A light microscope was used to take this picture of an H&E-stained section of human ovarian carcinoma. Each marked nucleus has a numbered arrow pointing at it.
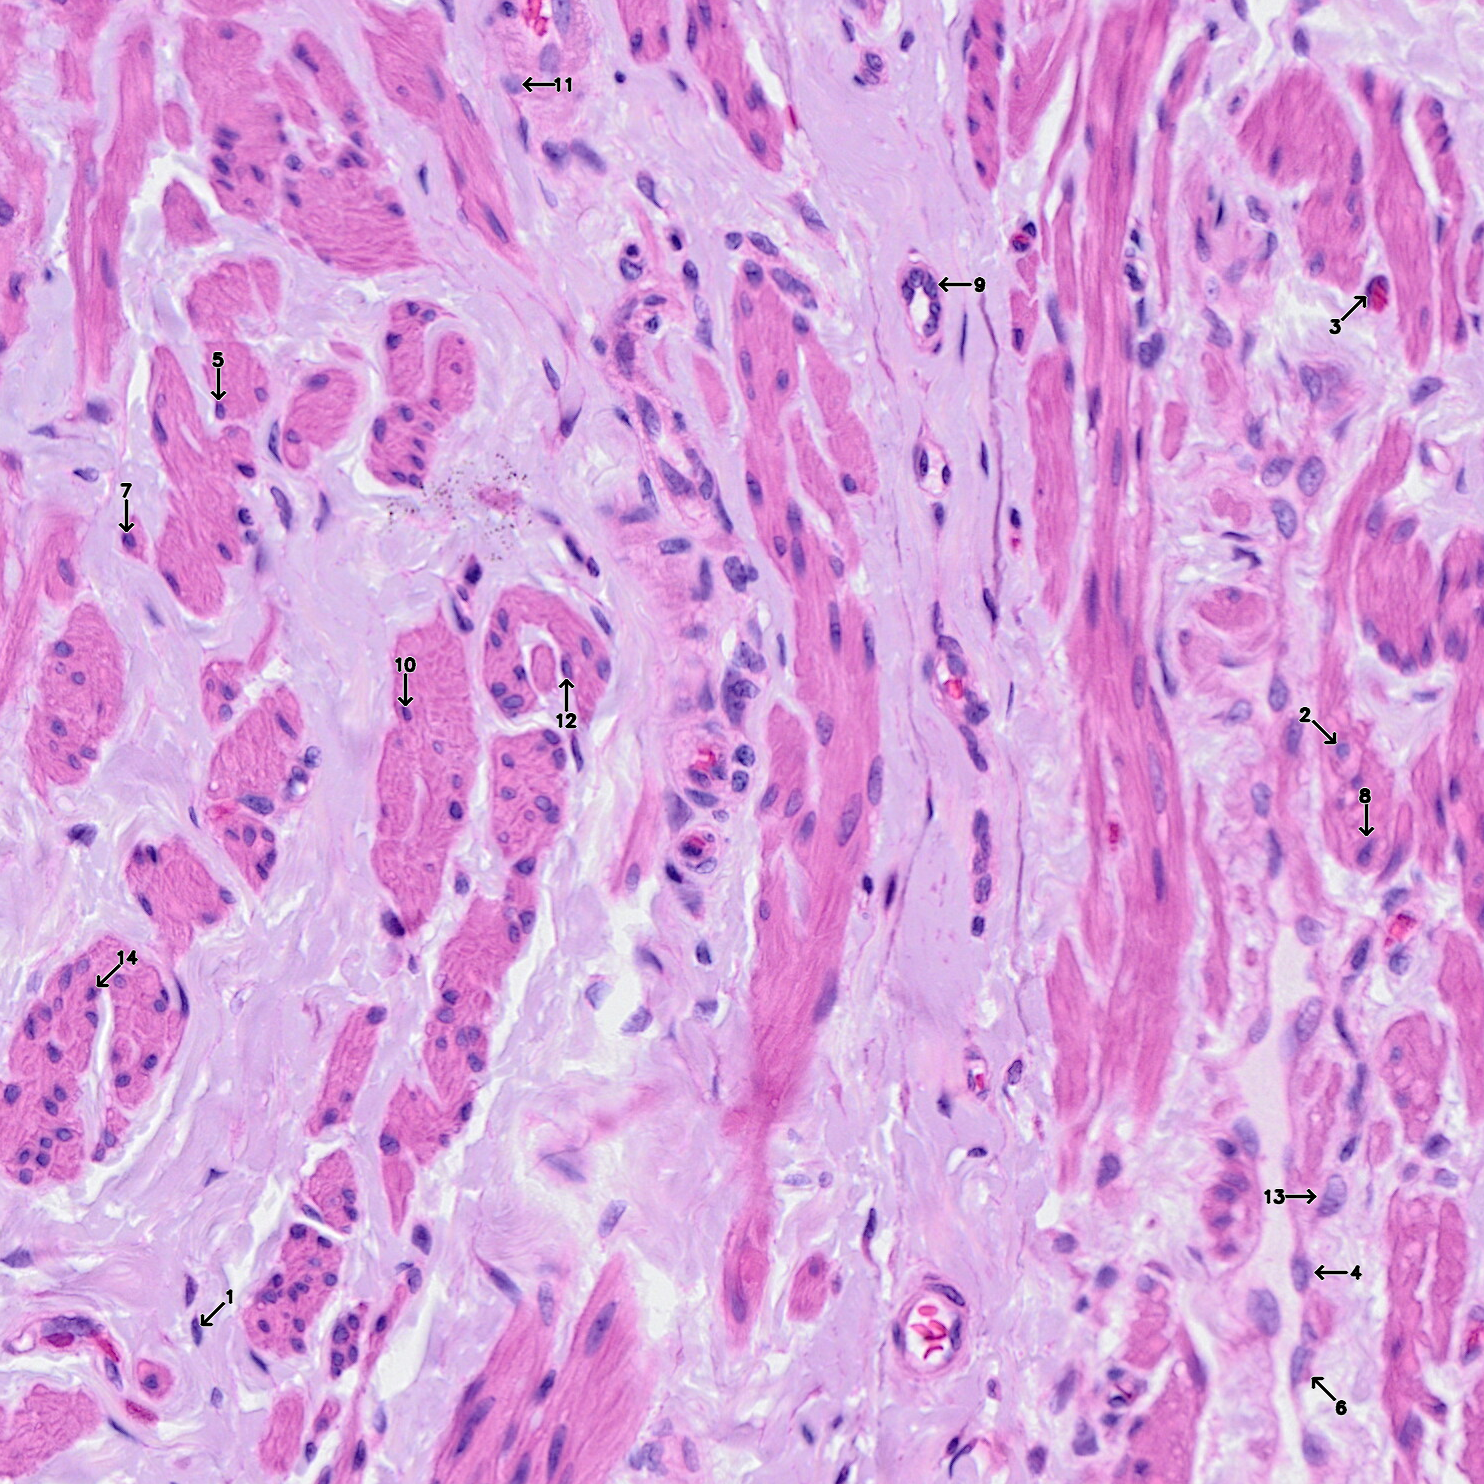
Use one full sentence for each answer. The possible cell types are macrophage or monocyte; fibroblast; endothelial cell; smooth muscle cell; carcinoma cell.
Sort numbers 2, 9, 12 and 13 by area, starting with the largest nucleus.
From largest to smallest, the order is 13, 9, 2, 12.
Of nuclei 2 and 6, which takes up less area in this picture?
Nucleus 2 is the smaller one; nucleus 6 covers about 3 times its area.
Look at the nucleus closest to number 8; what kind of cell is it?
Closest to number 8 lies the nucleus of a smooth muscle cell.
